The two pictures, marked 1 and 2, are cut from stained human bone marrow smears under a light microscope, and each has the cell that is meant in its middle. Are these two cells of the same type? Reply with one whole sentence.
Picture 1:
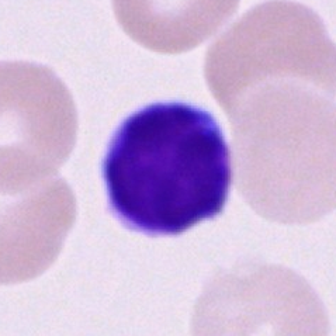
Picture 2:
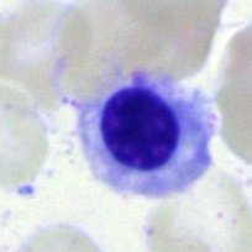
No. Picture 1 shows a lymphocyte, but picture 2 shows an erythroblast.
